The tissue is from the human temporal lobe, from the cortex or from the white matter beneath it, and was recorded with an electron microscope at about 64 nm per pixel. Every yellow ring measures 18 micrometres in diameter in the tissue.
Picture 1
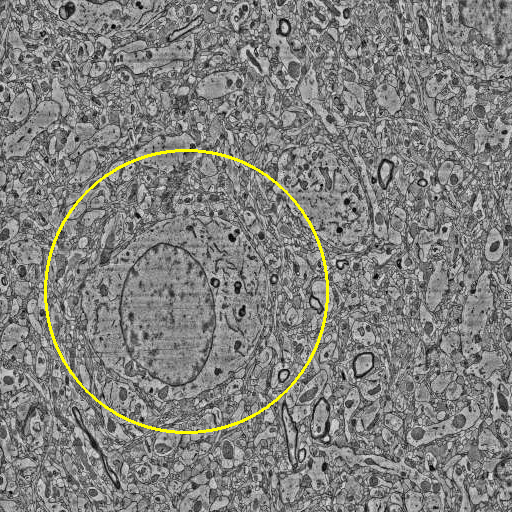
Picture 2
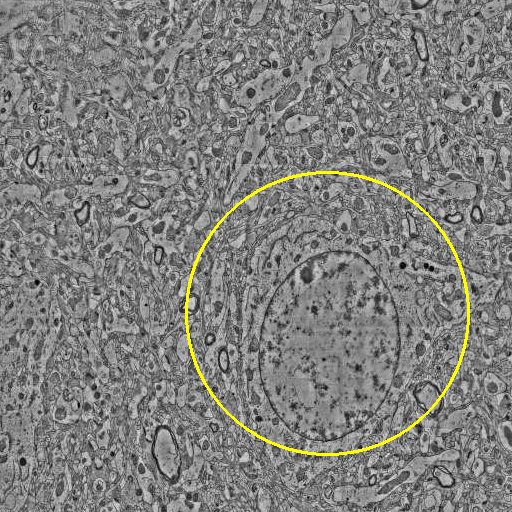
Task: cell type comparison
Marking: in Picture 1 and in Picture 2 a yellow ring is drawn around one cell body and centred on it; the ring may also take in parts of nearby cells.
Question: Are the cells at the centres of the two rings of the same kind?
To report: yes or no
yes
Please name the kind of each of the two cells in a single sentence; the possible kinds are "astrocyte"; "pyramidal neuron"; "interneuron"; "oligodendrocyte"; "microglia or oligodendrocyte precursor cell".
Both cells are the same kind, each one being a pyramidal neuron.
